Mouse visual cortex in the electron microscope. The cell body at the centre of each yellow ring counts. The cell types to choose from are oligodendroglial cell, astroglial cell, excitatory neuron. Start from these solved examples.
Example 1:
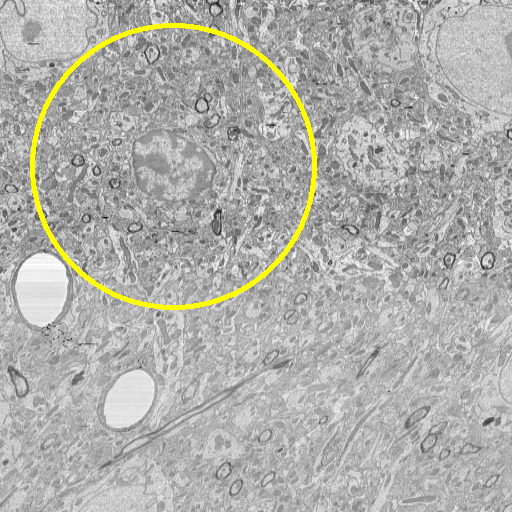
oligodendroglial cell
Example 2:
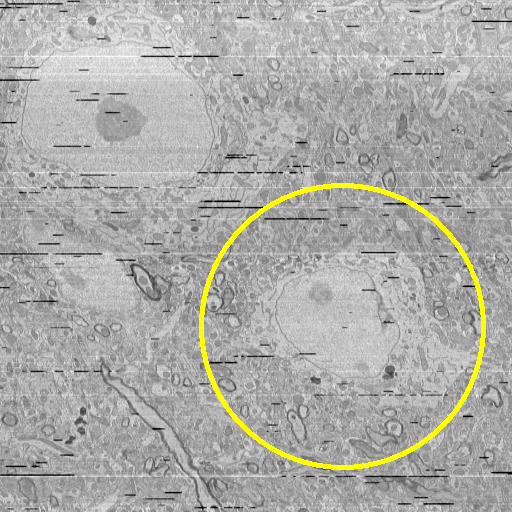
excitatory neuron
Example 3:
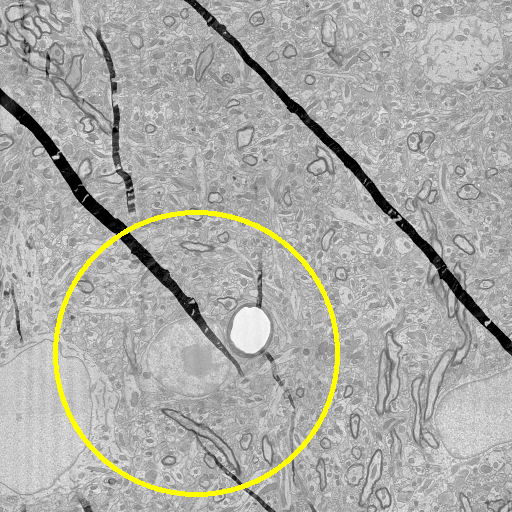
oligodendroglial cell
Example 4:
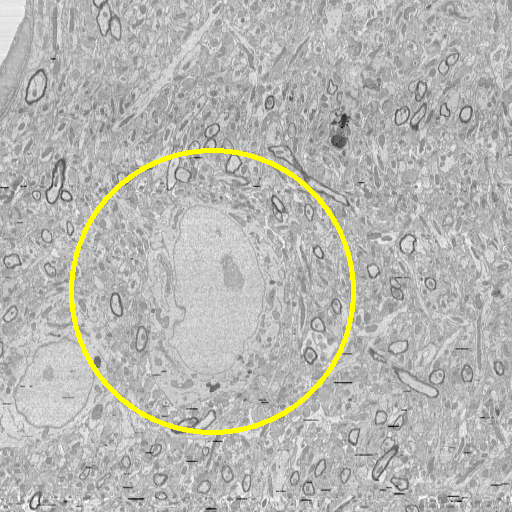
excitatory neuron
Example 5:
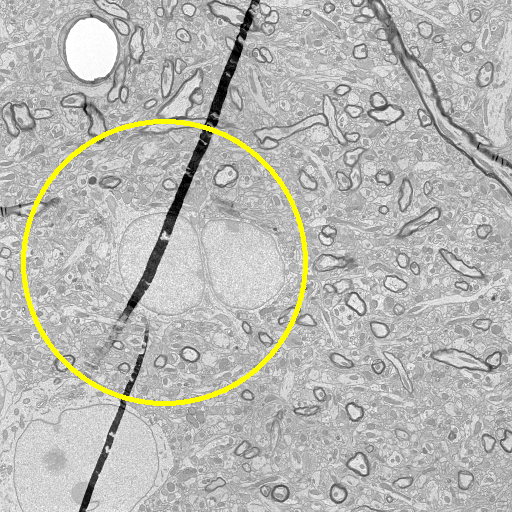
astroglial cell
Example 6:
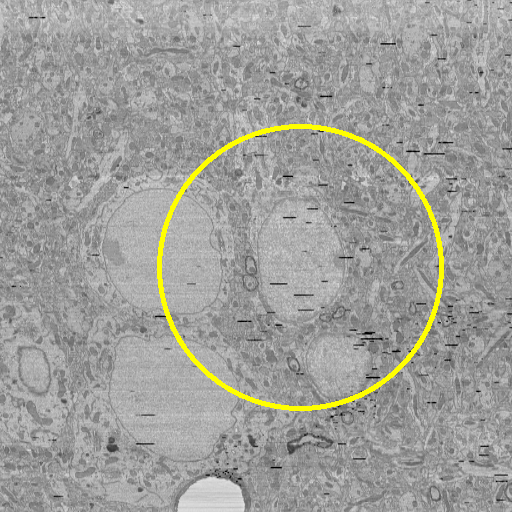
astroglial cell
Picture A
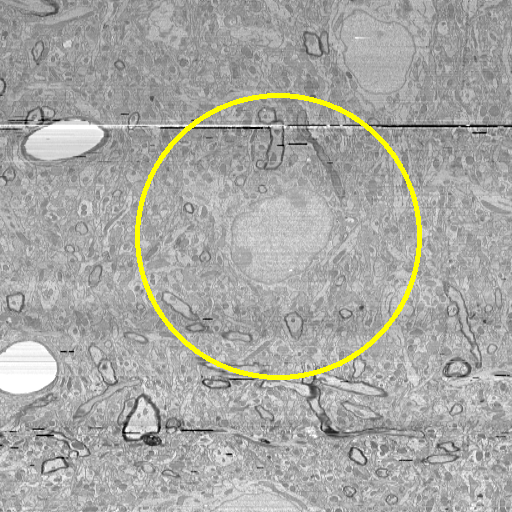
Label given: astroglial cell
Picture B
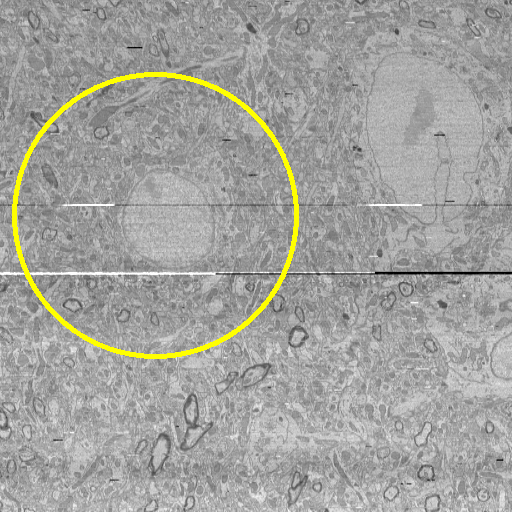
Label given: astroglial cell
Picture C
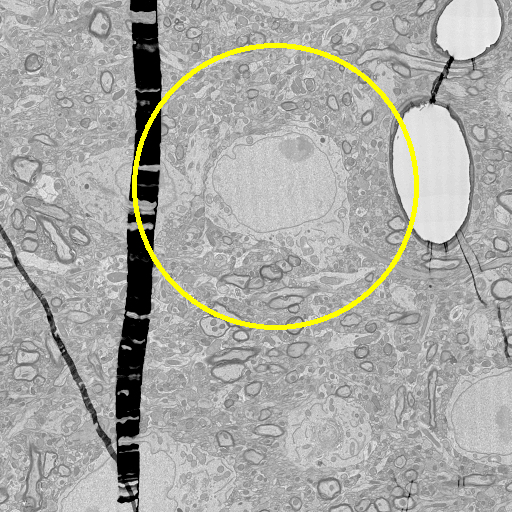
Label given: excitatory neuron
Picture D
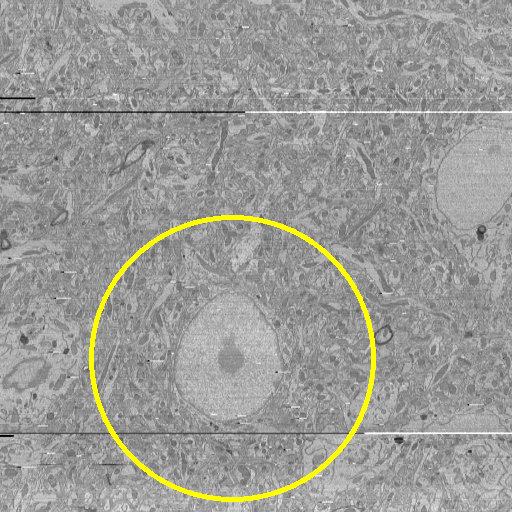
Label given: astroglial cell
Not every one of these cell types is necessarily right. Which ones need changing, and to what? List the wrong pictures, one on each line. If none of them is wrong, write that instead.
Nothing to fix; every label fits.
